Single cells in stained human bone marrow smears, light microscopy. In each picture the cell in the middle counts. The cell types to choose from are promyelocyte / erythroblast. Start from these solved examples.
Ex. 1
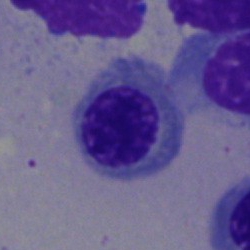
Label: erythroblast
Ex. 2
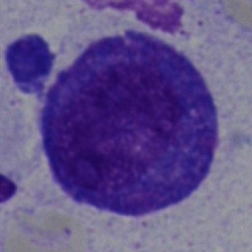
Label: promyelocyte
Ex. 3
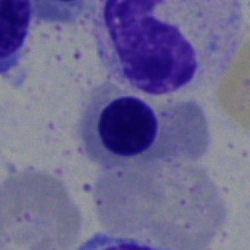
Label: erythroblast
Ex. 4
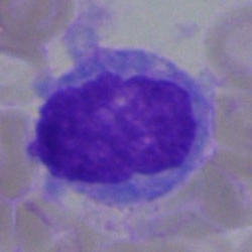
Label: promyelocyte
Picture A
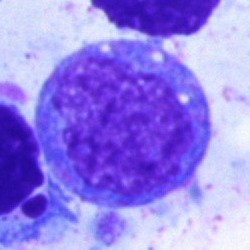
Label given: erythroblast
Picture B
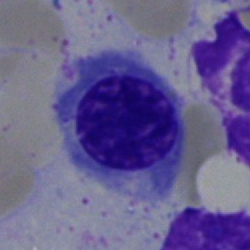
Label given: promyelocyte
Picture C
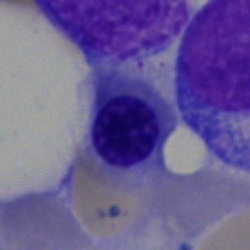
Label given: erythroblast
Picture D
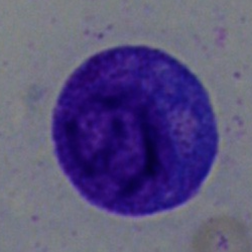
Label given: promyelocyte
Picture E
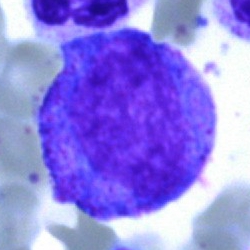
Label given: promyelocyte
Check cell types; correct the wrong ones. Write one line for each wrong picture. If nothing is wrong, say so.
A: promyelocyte, not erythroblast
B: erythroblast, not promyelocyte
